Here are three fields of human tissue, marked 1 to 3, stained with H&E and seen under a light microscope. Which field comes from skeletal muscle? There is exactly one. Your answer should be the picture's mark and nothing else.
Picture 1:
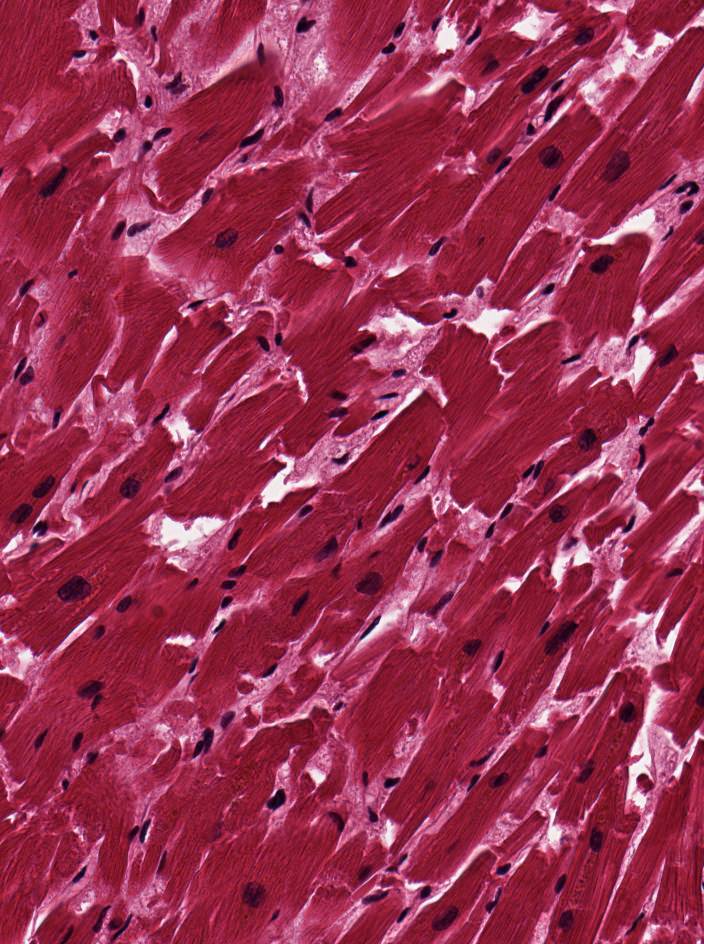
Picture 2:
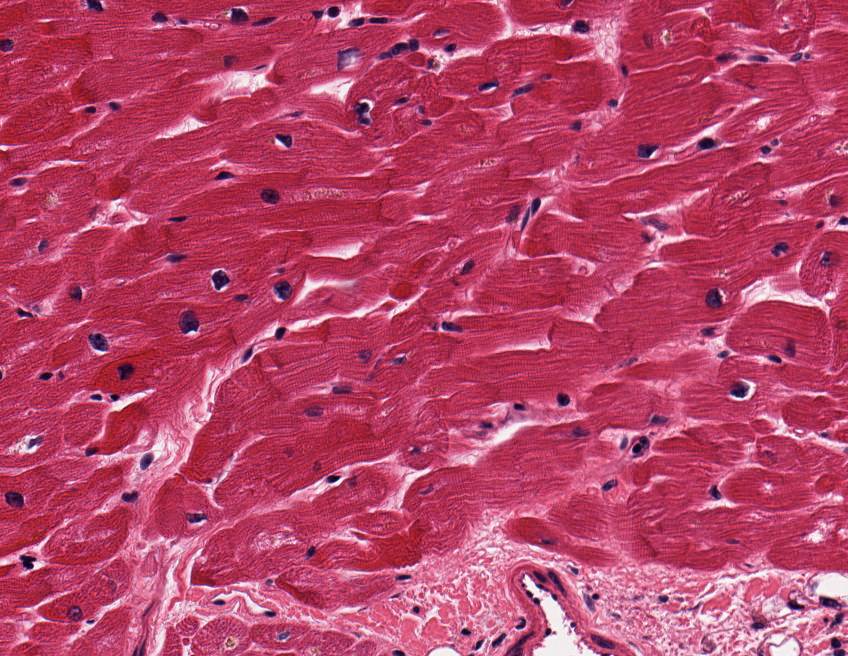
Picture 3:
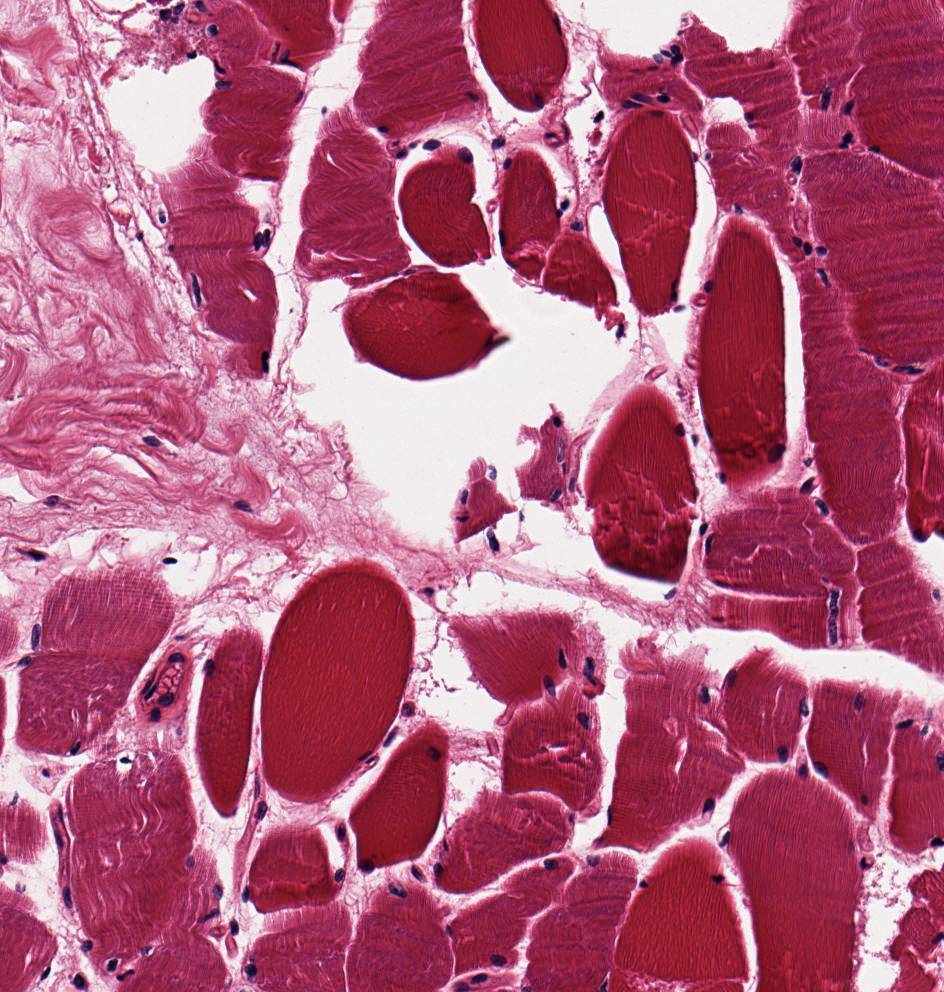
3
